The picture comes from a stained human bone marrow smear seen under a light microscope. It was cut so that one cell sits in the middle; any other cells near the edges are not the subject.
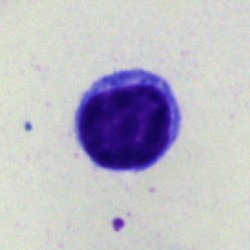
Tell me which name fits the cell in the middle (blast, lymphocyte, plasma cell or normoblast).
lymphocyte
